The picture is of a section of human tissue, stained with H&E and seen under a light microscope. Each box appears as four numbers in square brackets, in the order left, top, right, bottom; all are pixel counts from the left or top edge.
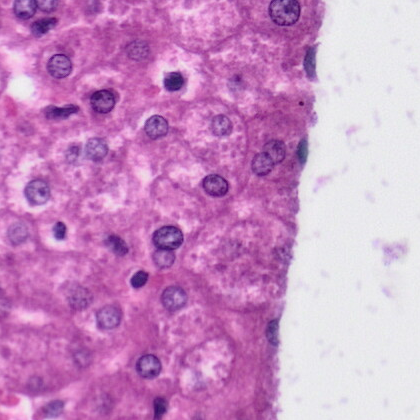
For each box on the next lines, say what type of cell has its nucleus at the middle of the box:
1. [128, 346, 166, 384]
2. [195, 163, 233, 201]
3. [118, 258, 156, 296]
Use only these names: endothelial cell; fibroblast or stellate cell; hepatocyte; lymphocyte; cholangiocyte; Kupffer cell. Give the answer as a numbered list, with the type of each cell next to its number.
1. hepatocyte
2. hepatocyte
3. lymphocyte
